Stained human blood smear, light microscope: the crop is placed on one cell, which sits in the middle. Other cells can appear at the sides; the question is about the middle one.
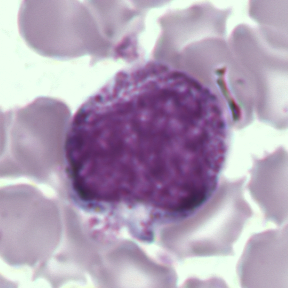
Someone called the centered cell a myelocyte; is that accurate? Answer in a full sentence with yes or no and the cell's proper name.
Yes, it is a myelocyte that occupies the centre of the crop.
